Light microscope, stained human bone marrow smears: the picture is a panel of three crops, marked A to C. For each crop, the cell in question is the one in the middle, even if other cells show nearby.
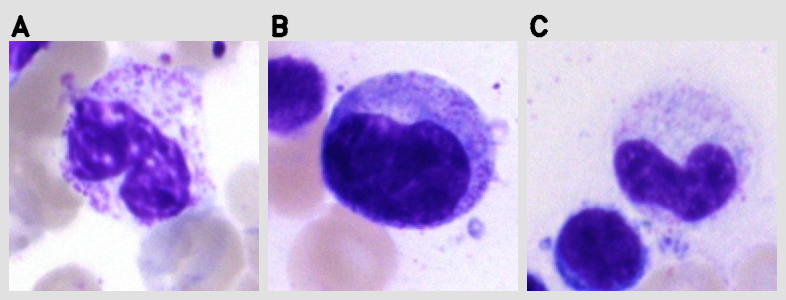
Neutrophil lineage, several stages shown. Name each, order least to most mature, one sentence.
In rising order of maturity, the crops are crop B (a promyelocyte), crop C (a band neutrophil) and crop A (a segmented neutrophil).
